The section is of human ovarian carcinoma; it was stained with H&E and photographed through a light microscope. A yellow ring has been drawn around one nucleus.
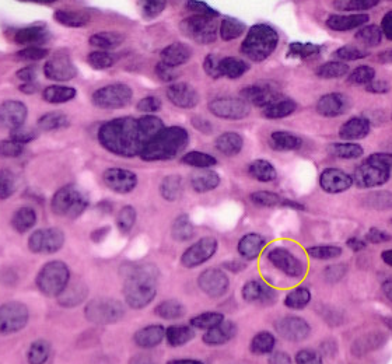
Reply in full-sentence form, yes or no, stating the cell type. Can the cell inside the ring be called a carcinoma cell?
Yes, it is a carcinoma cell that the cell inside the ring is.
